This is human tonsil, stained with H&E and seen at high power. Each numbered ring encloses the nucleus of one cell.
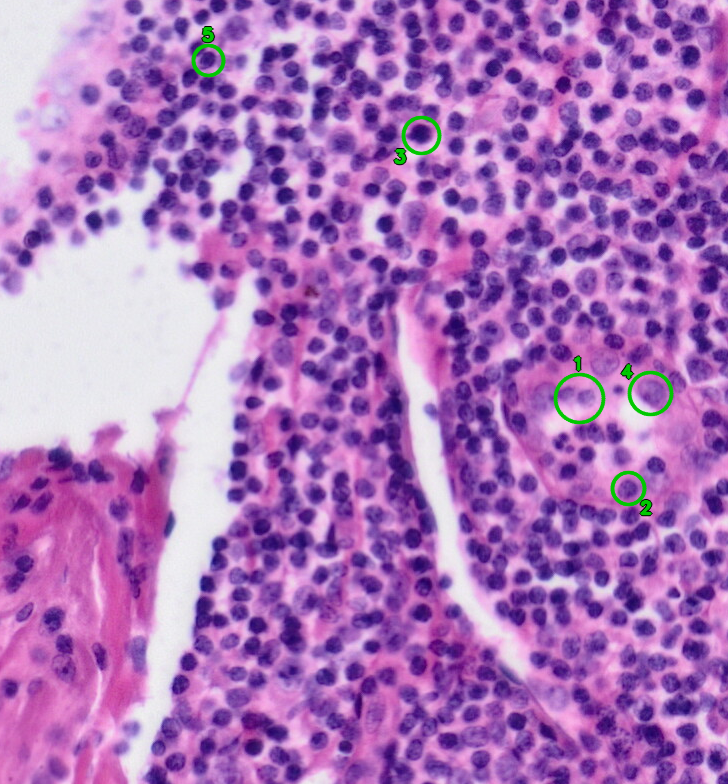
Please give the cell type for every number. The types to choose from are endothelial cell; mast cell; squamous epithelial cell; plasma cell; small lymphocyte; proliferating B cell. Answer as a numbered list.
1. endothelial cell
2. endothelial cell
3. proliferating B cell
4. endothelial cell
5. small lymphocyte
